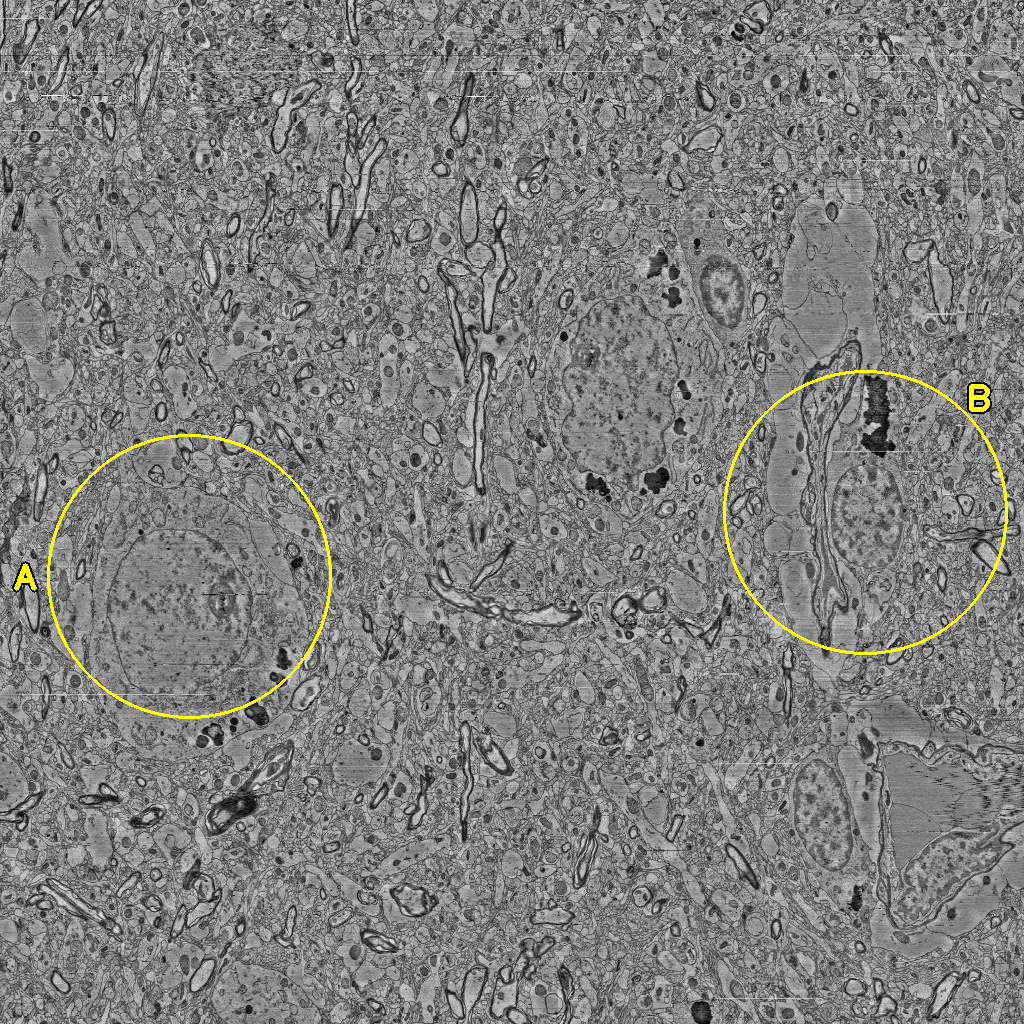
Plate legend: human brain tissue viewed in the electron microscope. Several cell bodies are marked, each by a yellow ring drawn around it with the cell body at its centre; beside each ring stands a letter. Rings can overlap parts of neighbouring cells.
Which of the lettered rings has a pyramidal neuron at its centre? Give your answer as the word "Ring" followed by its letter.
Ring A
